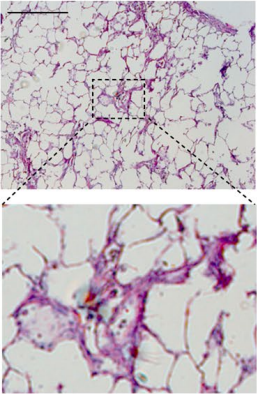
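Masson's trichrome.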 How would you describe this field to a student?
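This is lung tissue with a lacy, open architecture of alveoli. Thin, delicate alveolar walls, stained pink to purple, outline wide empty air spaces that take up most of the field. The walls carry only scattered small dark nuclei and are a single thin layer across most of their length. In the enlarged area a slightly thicker junction of several walls is seen, still with little blue-stained fibrous material.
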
